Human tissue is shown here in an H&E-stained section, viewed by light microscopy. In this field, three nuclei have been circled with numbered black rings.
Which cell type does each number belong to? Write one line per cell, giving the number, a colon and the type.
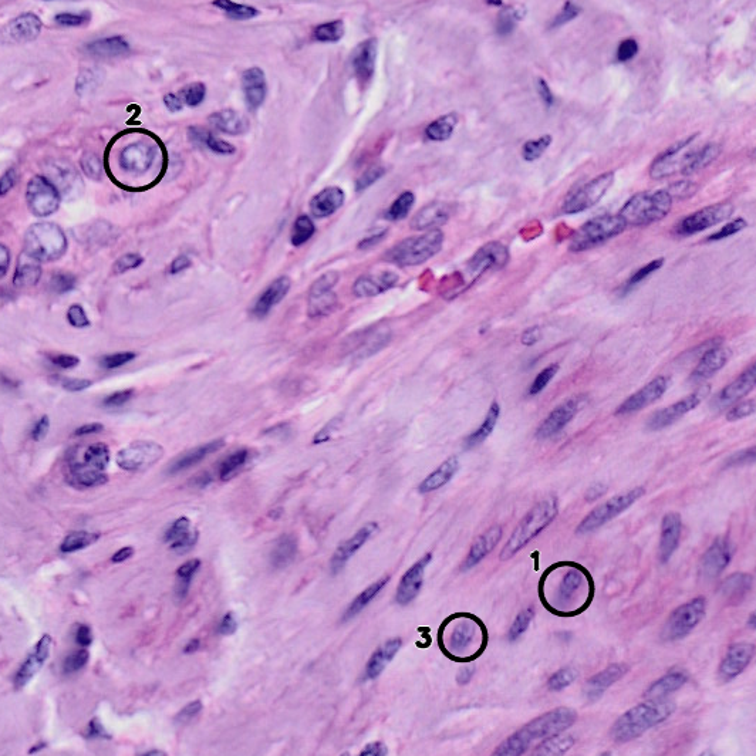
1: smooth muscle cell
2: endothelial cell
3: smooth muscle cell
